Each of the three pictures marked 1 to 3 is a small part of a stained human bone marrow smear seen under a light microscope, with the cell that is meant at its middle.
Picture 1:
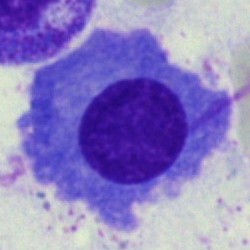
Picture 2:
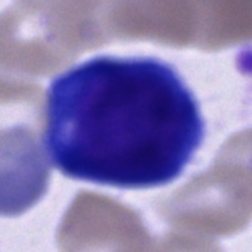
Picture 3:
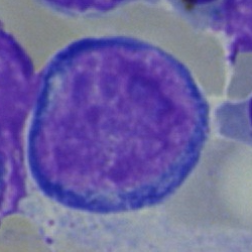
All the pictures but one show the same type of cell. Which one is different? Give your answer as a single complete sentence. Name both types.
Picture 1 differs, because its cell is a plasma cell and the rest are proerythroblasts.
